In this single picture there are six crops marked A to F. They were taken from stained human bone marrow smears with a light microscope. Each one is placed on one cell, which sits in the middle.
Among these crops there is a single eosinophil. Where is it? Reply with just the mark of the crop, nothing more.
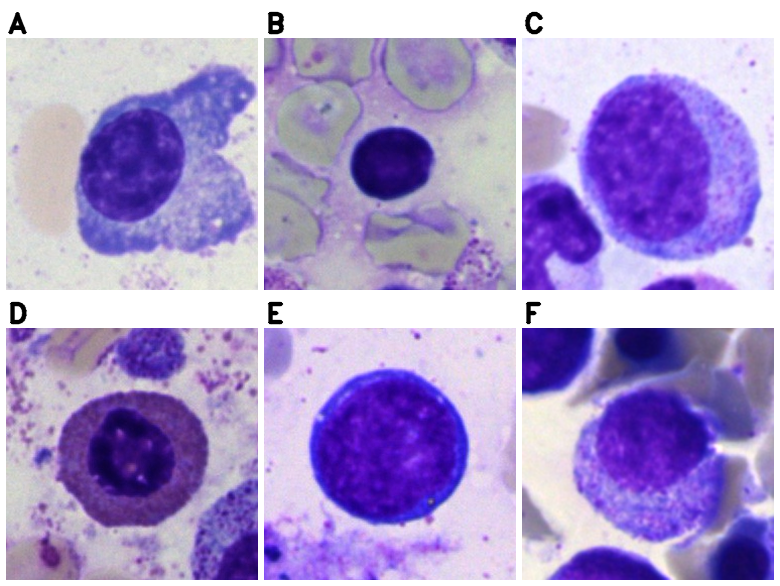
D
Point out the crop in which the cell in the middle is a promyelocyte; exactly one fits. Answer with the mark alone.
C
